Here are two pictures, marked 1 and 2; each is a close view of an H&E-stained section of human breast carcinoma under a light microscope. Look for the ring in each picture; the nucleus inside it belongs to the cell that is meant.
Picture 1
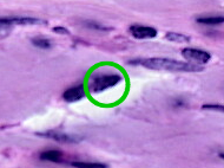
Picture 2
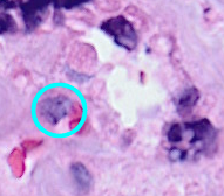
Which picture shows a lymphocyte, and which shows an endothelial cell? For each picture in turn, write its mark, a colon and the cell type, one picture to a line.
1: lymphocyte
2: endothelial cell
